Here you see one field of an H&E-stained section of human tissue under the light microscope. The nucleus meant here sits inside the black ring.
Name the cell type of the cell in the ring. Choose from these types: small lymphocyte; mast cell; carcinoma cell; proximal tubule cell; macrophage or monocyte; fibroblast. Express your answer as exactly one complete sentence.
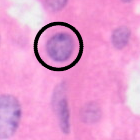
In this section of tissue, the cell in the ring is a proximal tubule cell.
